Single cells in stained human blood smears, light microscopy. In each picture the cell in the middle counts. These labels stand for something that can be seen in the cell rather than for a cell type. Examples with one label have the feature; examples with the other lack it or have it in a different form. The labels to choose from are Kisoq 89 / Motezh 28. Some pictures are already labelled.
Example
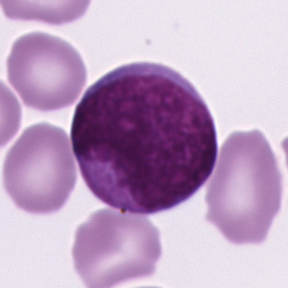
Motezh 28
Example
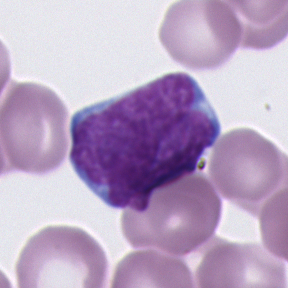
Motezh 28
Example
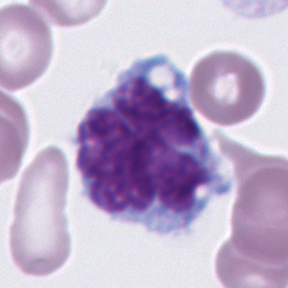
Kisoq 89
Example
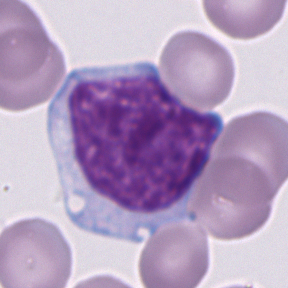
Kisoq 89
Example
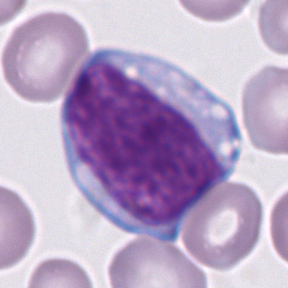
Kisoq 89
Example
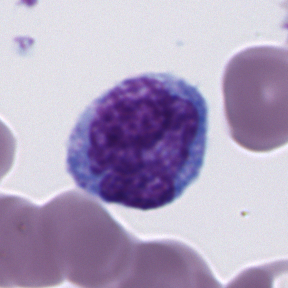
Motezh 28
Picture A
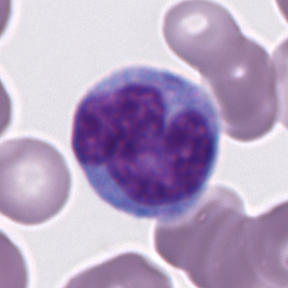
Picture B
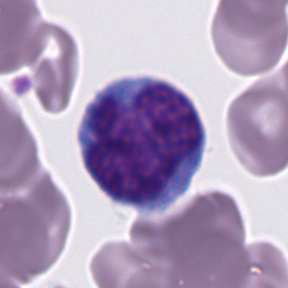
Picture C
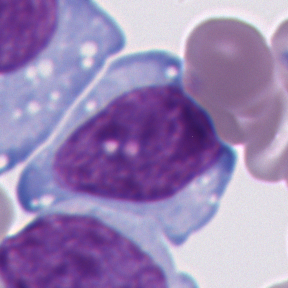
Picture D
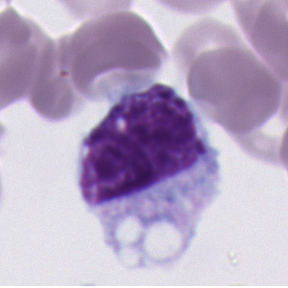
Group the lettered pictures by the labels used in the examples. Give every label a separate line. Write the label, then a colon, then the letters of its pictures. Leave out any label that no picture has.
Kisoq 89: C, D
Motezh 28: A, B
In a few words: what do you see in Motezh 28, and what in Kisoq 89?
Motezh 28, no vacuoles; Kisoq 89, vacuoles present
